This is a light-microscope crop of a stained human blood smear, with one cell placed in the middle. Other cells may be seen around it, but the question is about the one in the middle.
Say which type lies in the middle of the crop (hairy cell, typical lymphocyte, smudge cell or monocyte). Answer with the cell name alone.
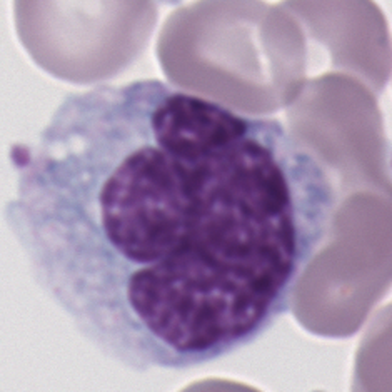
monocyte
